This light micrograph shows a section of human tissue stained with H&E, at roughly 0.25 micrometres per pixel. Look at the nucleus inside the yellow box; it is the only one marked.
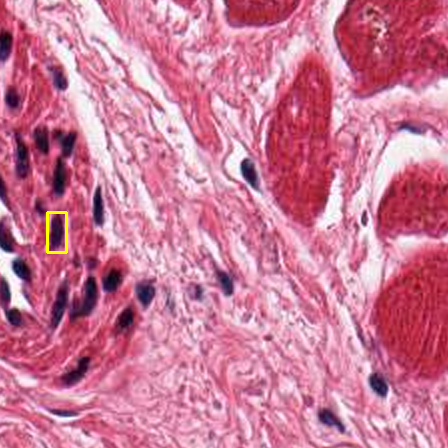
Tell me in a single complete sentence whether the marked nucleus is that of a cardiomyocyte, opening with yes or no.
No, the marked nucleus does not count as part of a cardiomyocyte.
